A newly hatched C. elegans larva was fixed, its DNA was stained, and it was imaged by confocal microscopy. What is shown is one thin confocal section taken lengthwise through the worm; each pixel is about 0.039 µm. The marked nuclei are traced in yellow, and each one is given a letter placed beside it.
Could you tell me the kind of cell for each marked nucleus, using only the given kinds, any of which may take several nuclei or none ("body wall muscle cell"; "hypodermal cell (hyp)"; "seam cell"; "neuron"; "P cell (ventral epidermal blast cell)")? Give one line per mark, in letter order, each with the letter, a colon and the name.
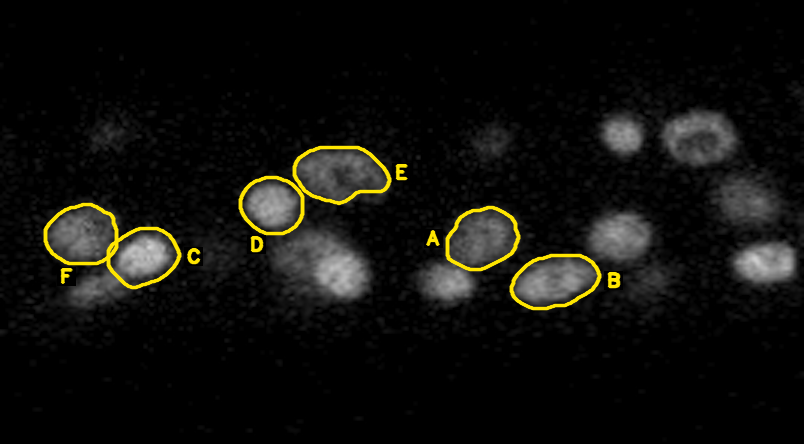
A: seam cell
B: body wall muscle cell
C: neuron
D: neuron
E: hypodermal cell (hyp)
F: seam cell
